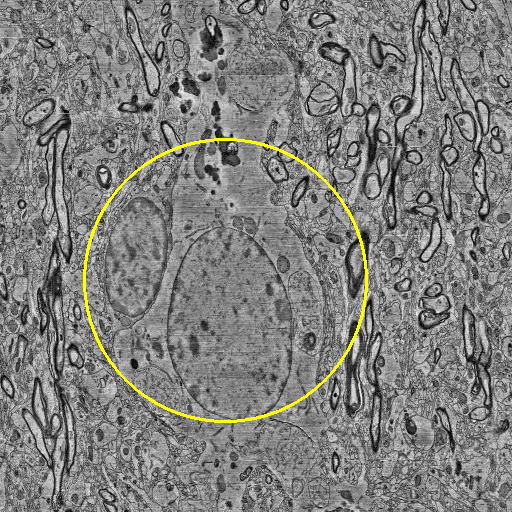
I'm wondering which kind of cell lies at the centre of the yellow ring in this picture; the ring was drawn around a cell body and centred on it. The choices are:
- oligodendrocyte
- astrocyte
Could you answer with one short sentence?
At the centre of the ring lies an astrocyte.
